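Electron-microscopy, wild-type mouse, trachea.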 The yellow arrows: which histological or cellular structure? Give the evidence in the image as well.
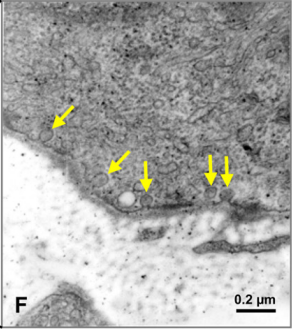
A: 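Caveolae. The arrows point at small round membrane-bound vesicles and pits lying at the cell's plasma membrane. They sit at the border facing the pale extracellular space.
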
